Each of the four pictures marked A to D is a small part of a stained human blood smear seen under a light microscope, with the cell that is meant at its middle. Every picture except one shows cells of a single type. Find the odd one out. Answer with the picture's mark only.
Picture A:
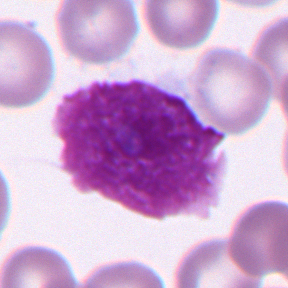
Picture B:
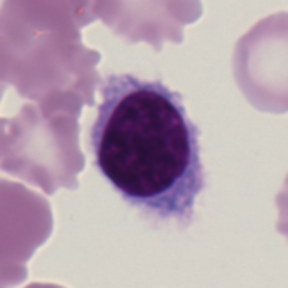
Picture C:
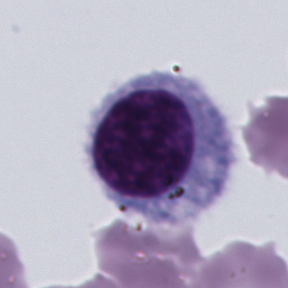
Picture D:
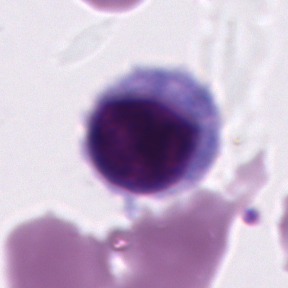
A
